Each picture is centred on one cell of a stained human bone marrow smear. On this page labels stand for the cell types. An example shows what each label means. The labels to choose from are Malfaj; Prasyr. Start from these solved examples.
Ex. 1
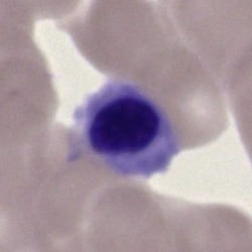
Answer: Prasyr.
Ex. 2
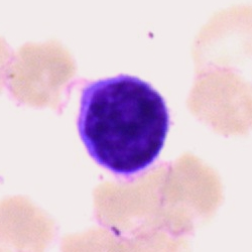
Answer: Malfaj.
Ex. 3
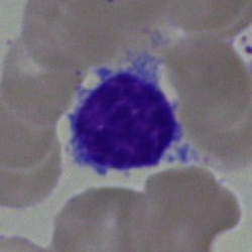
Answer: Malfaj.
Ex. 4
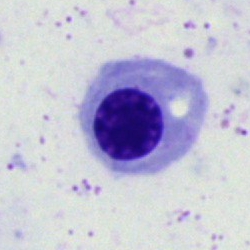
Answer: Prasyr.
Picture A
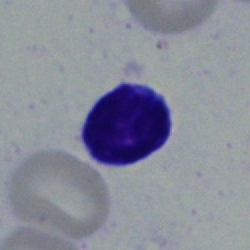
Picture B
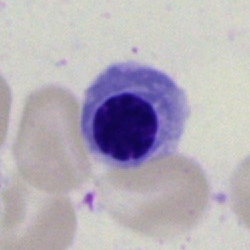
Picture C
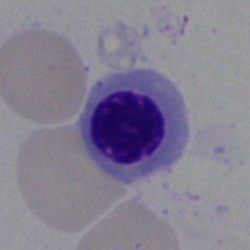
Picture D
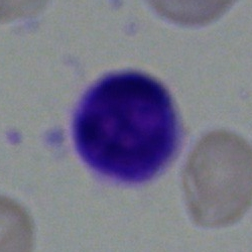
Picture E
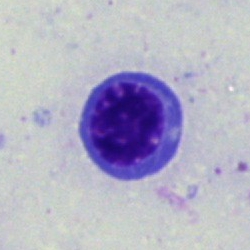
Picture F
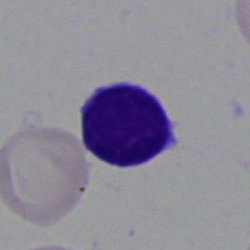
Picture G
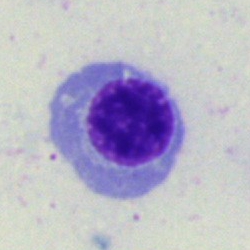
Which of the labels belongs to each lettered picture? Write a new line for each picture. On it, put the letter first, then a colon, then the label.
A: Malfaj.
B: Prasyr.
C: Prasyr.
D: Malfaj.
E: Prasyr.
F: Malfaj.
G: Prasyr.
